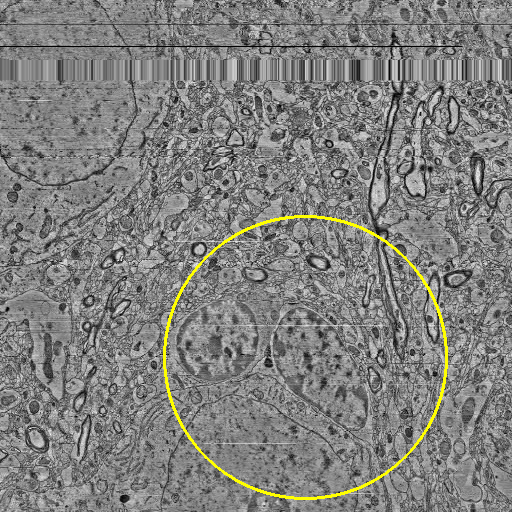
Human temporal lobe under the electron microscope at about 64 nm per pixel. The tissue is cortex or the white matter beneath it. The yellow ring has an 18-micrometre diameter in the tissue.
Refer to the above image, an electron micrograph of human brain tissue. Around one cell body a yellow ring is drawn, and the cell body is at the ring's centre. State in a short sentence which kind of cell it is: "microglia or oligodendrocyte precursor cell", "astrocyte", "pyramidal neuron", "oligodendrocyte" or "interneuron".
The centre of the ring falls on a microglial cell or oligodendrocyte precursor cell.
